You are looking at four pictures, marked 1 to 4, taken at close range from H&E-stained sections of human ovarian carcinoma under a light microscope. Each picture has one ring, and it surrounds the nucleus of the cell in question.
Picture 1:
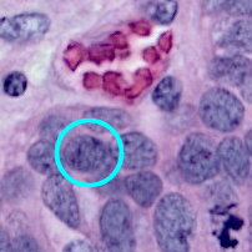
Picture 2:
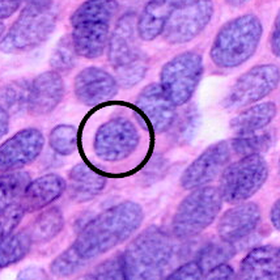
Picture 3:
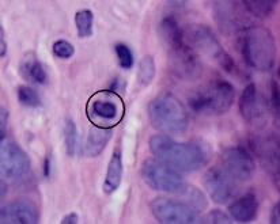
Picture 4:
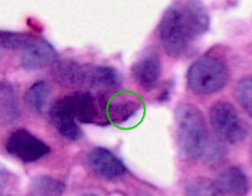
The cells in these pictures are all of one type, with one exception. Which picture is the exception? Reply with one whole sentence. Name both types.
Unlike the rest, which show carcinoma cells, picture 3 shows a lymphocyte.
